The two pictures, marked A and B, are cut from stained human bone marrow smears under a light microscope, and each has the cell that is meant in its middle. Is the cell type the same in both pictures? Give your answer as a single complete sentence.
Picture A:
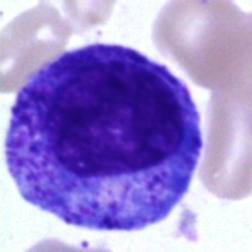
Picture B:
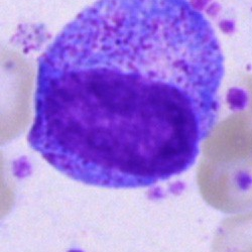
Yes, the two pictures both show promyelocytes.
